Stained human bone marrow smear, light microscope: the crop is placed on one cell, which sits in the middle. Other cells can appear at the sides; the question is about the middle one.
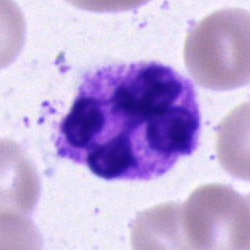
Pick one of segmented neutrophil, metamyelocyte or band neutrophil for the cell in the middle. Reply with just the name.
segmented neutrophil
